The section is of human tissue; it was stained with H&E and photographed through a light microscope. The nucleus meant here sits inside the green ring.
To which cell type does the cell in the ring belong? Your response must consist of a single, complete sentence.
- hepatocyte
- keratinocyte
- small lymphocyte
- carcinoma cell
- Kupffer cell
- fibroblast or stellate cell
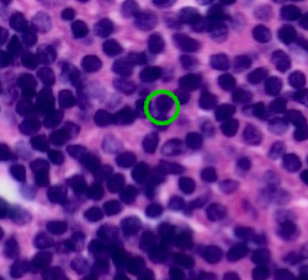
Labelled by cell type, the cell in the ring is a small lymphocyte.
